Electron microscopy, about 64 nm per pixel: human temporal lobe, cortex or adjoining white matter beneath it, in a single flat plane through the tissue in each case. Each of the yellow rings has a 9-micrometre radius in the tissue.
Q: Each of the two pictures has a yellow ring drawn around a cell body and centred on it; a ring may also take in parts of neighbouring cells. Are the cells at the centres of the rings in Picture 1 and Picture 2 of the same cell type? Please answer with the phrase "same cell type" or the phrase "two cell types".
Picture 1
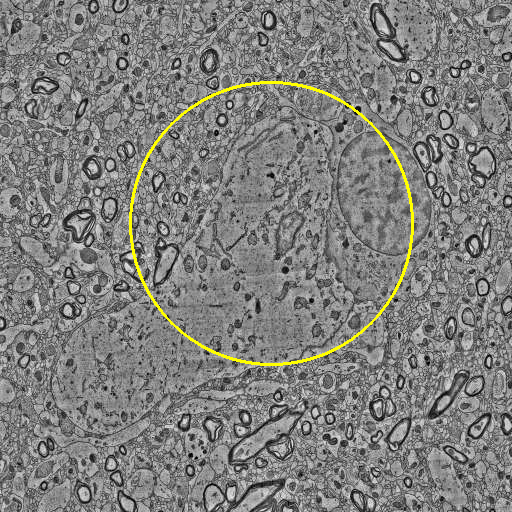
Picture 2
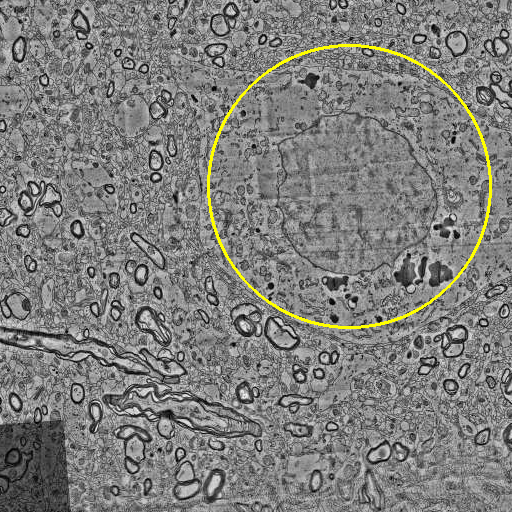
same cell type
